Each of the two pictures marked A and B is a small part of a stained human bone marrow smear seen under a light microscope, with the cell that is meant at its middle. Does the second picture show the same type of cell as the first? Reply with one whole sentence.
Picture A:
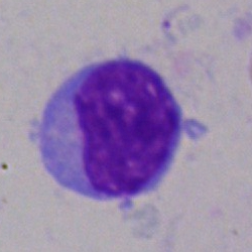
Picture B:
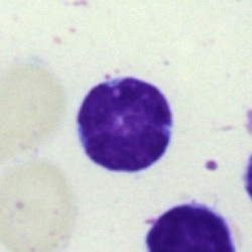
No, picture A shows a blast and picture B shows a lymphocyte.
